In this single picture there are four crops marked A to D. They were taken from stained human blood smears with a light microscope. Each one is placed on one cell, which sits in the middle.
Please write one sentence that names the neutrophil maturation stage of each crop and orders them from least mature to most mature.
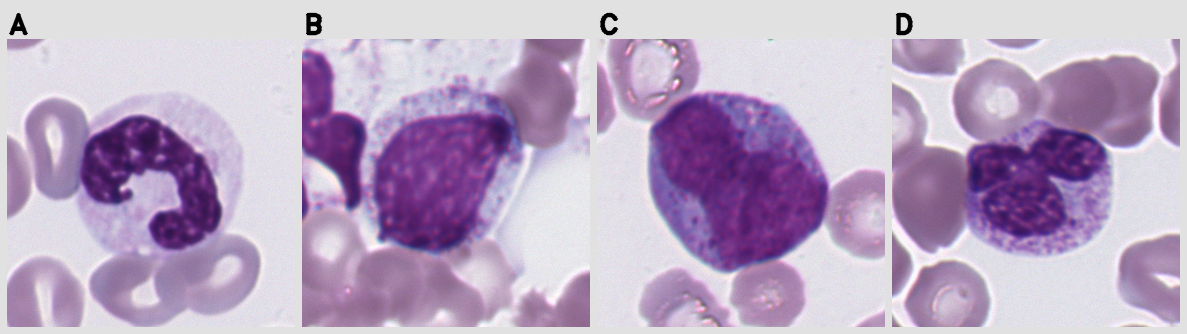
The crops, ordered from least to most mature, are crop C (a promyelocyte), crop B (a myelocyte), crop A (a band neutrophil) and crop D (a segmented neutrophil).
